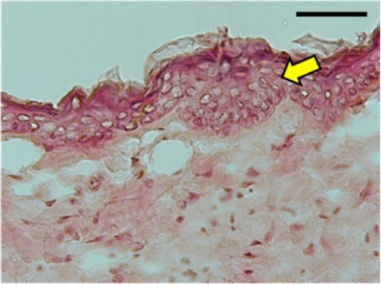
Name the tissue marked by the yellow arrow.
Epidermal layer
